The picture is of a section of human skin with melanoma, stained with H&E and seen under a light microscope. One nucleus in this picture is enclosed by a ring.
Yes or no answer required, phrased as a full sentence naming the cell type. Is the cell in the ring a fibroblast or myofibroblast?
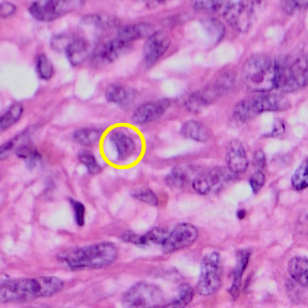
No, just to correct that, the cell in the ring is a melanoma cell and not a fibroblast or myofibroblast.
